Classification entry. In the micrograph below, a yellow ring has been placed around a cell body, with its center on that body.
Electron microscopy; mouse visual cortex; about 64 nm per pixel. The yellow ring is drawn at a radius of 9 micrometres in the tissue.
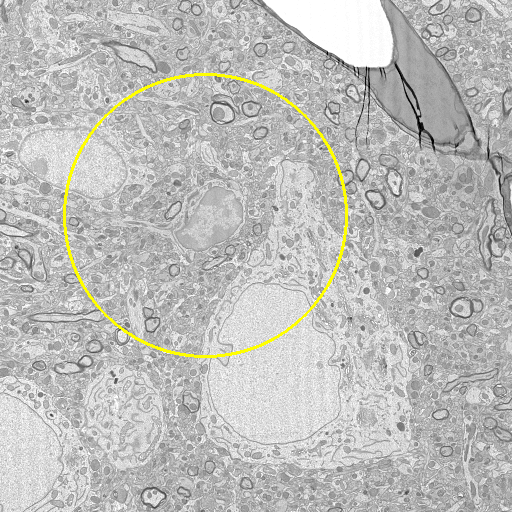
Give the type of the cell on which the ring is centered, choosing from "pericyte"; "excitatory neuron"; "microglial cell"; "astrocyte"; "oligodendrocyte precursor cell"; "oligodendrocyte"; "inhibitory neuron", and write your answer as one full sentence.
The cell body at the center of the yellow ring belongs to a microglial cell.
